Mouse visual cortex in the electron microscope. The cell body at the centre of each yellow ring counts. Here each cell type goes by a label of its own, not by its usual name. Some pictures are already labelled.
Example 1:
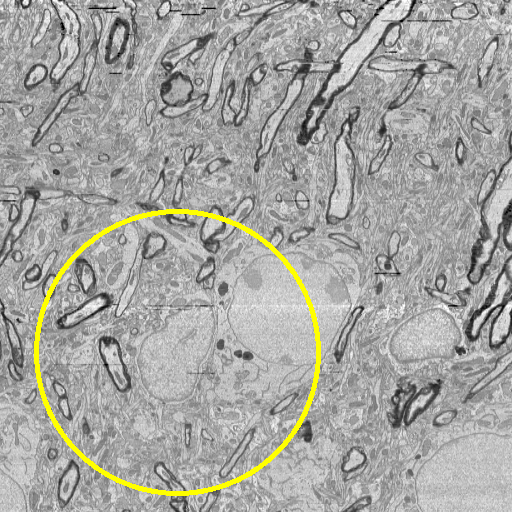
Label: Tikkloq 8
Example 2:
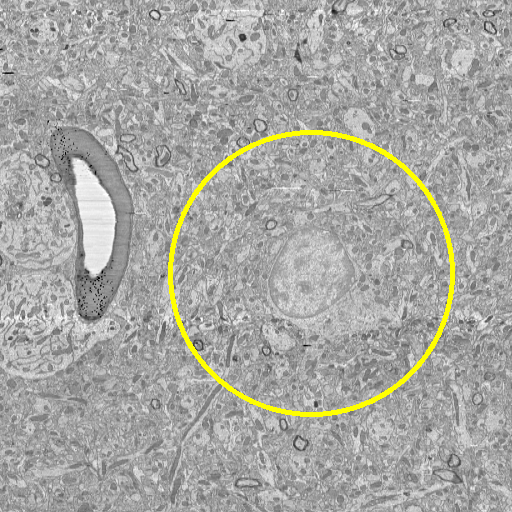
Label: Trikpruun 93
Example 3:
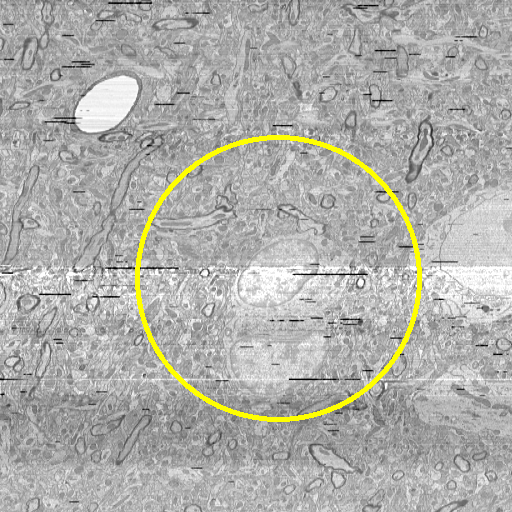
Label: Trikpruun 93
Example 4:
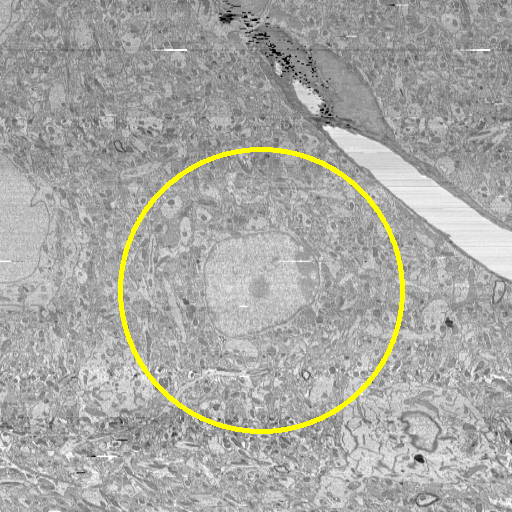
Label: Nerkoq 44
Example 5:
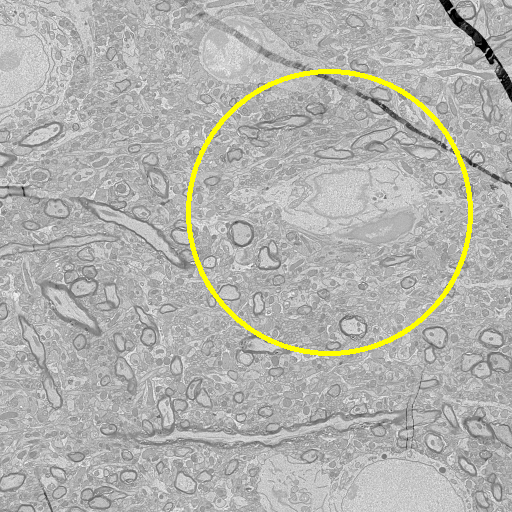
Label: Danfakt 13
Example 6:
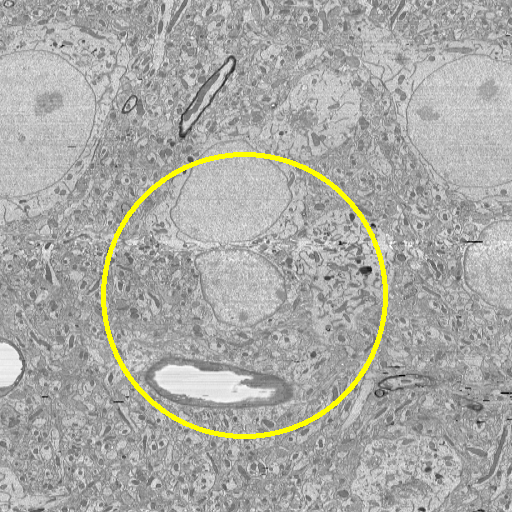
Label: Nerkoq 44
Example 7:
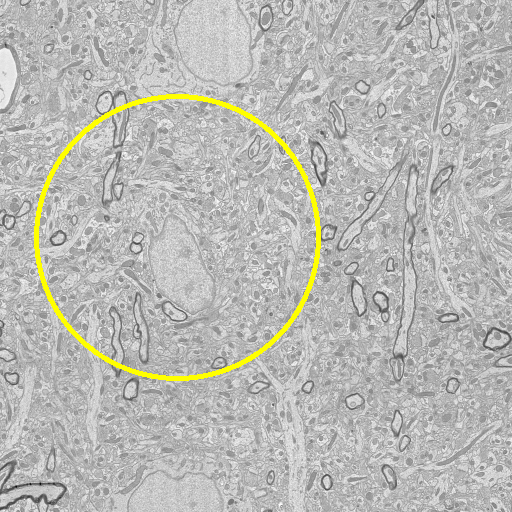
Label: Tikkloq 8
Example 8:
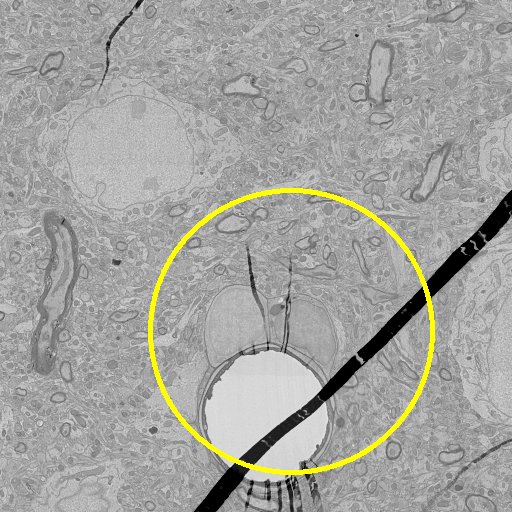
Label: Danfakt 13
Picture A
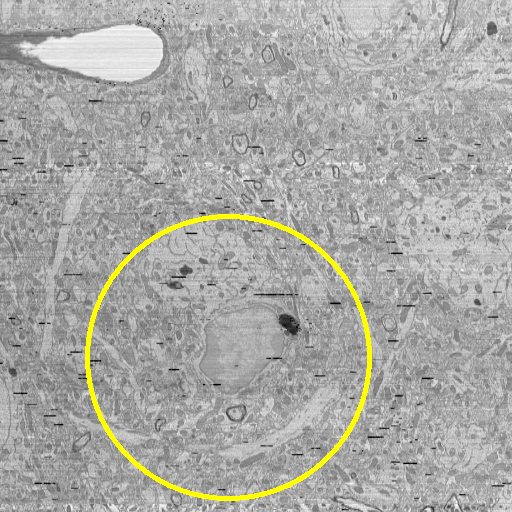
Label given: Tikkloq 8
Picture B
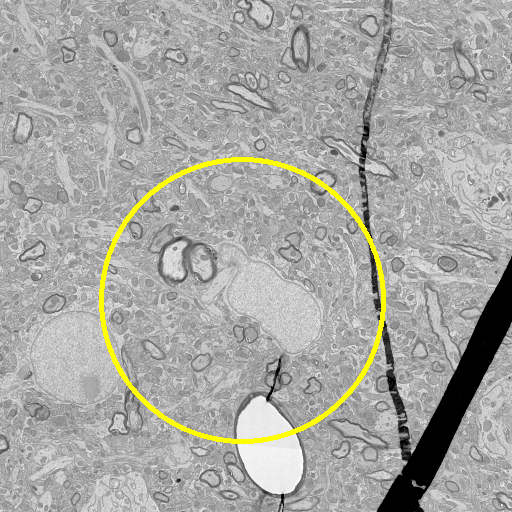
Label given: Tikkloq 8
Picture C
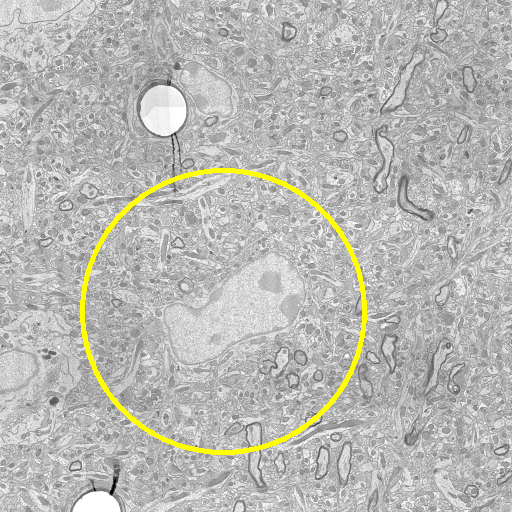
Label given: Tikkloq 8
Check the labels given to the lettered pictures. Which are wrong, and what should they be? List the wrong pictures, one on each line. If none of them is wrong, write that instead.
A should be Danfakt 13, not Tikkloq 8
